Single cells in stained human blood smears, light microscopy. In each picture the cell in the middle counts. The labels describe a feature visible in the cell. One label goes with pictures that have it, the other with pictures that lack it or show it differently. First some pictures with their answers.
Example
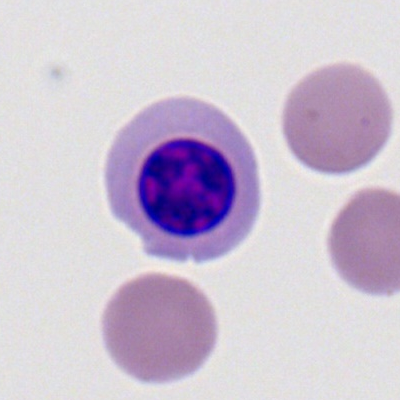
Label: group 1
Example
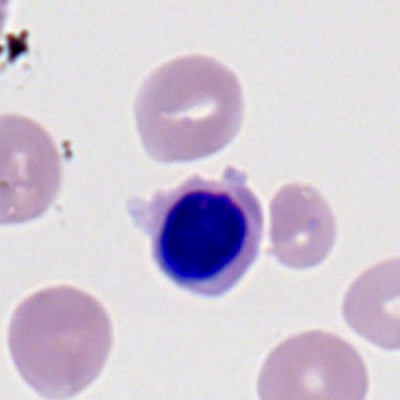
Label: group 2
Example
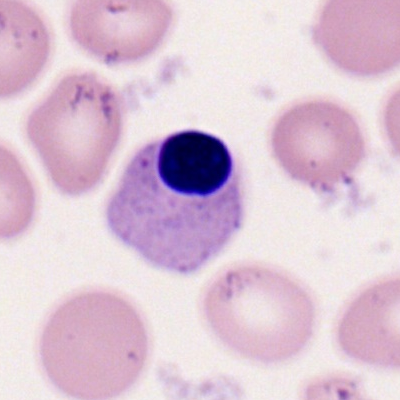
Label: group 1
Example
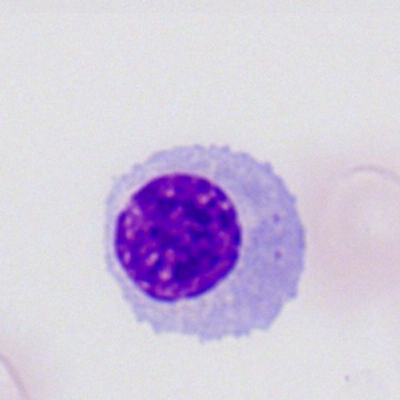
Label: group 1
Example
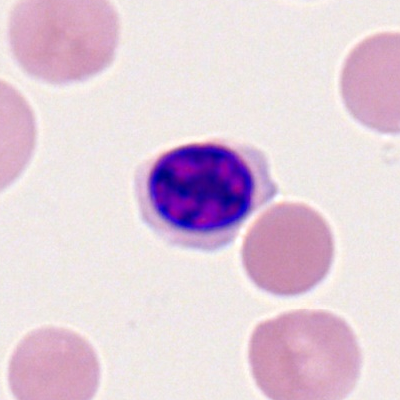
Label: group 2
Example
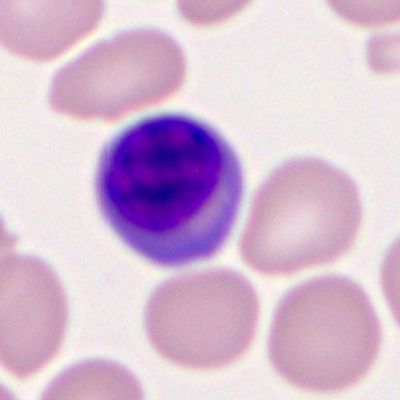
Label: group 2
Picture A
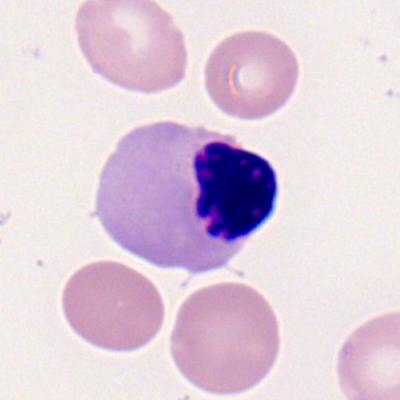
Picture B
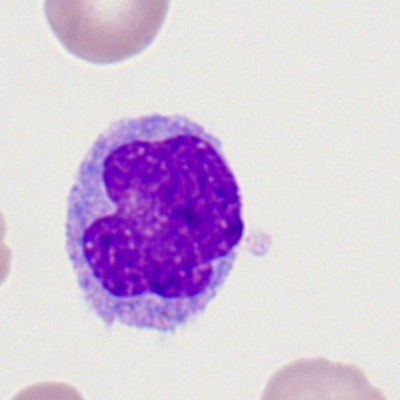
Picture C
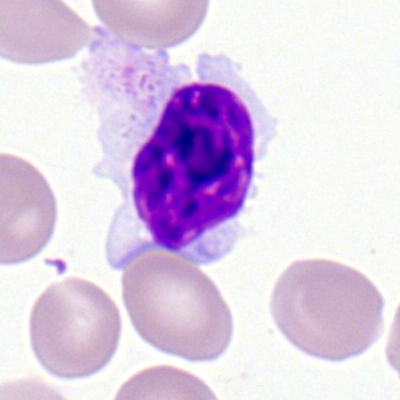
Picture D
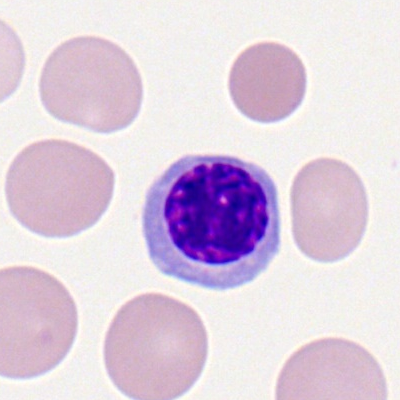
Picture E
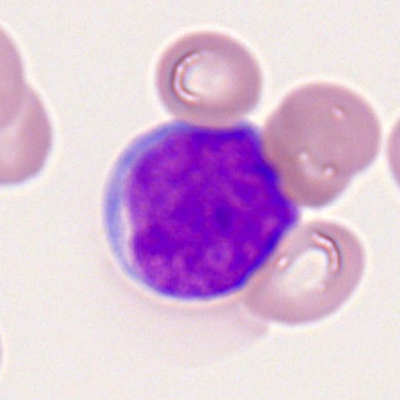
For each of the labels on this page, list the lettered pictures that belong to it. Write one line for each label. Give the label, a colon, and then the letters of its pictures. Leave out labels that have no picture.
group 1: A, C
group 2: B, D, E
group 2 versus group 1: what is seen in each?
In group 2: scant cytoplasm. In group 1: abundant cytoplasm.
